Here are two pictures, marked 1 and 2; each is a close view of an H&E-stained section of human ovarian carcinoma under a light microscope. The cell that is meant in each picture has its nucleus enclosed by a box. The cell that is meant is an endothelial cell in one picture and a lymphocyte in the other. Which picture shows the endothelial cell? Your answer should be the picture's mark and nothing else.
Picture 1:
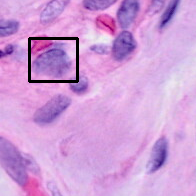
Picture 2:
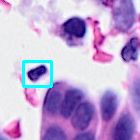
1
